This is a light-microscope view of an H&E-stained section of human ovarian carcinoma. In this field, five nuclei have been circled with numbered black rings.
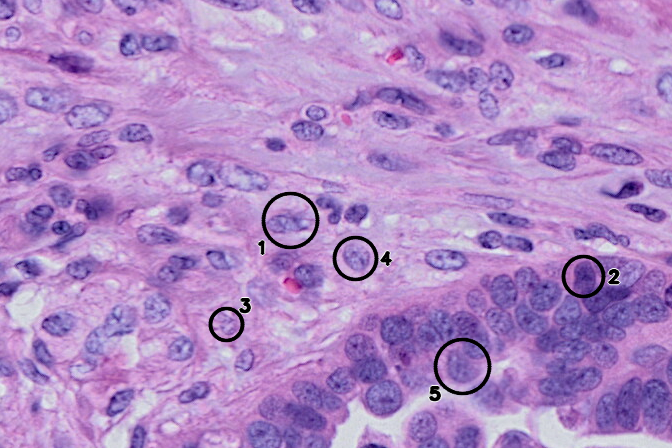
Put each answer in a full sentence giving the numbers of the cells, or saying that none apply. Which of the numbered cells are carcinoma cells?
Each of the cells numbered 2 and 5 is among the carcinoma cells.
